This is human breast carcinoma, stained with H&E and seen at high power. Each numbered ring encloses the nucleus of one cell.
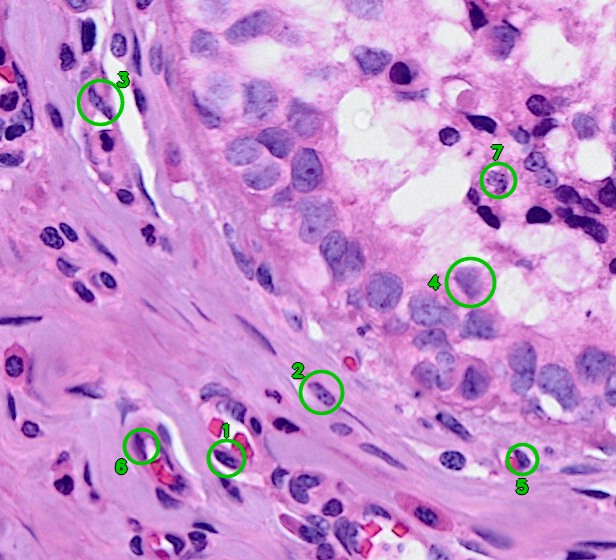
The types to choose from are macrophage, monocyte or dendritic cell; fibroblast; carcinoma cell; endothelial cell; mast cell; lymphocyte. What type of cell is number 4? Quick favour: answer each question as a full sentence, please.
Cell 4 is classified as a carcinoma cell.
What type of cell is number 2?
The cell marked with number 2 is a mast cell.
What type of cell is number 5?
The nucleus labeled 5 belongs to an endothelial cell.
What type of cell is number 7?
The cell that is numbered 7 is a macrophage, monocyte or dendritic cell.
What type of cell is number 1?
In this section, the cell numbered 1 is an endothelial cell.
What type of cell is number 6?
In the tissue shown, cell 6 is an endothelial cell.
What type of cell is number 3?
The marked cell with the number 3 is recognised as an endothelial cell.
